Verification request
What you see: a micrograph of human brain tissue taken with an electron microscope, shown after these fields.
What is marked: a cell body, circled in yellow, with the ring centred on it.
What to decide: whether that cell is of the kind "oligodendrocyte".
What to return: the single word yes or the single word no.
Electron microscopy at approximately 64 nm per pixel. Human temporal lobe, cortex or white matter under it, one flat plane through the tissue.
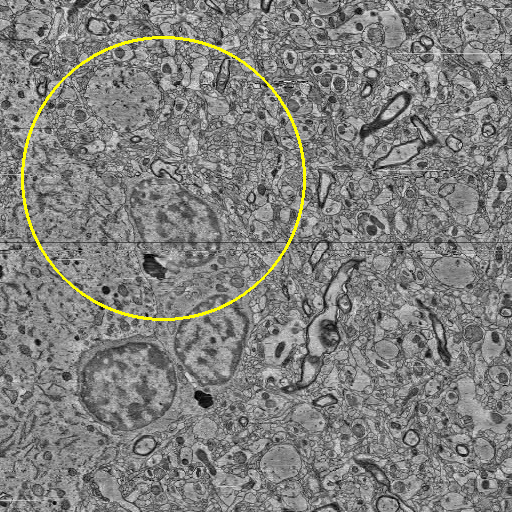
yes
